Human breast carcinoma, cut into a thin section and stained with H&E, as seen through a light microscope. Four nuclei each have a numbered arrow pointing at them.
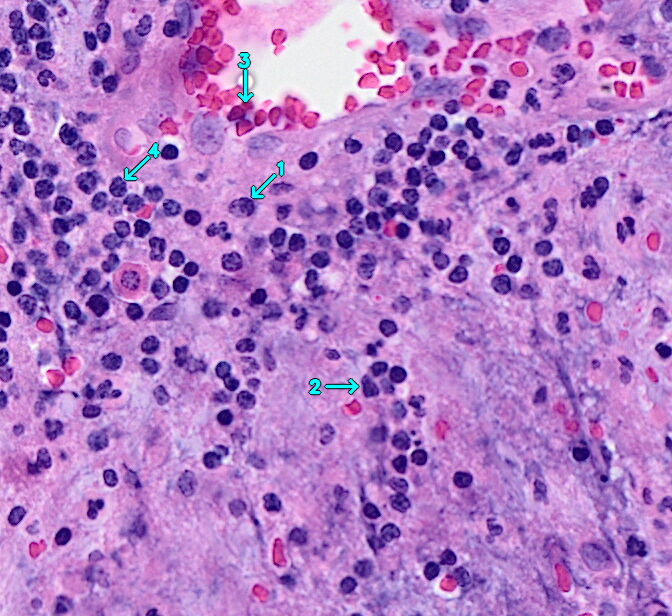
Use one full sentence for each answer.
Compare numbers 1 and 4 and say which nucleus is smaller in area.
With nucleus 1 about 1.5 times its size, nucleus 4 is the smaller of the two.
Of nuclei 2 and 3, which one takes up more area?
It is nucleus 3, which covers about 1.5 times the area of nucleus 2.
